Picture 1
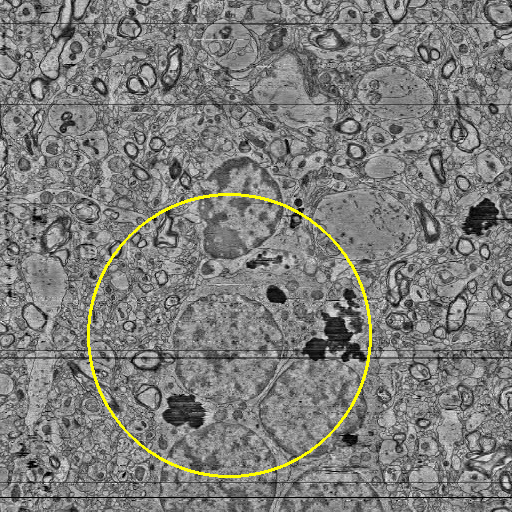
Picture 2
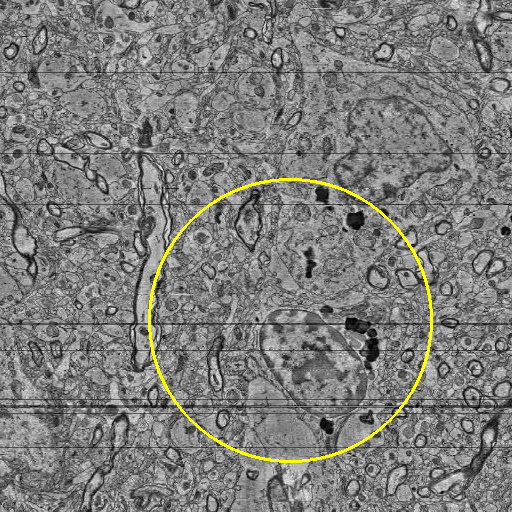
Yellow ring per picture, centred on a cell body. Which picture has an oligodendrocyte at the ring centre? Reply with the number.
1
